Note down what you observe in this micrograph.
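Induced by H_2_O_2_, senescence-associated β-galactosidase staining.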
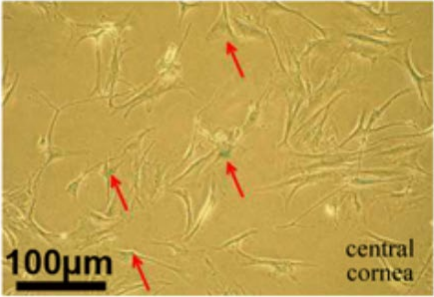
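The cells are slender and spindle-shaped, some with several long, tapering processes, and in places they lie side by side in small parallel bundles. Only a few cells show a blue-green deposit in the cytoplasm near the nucleus, and these are marked by red arrows; the deposit is faint and small. The remaining cells are unstained and look much alike, with thin outlines and long extensions crossing the open spaces between them.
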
